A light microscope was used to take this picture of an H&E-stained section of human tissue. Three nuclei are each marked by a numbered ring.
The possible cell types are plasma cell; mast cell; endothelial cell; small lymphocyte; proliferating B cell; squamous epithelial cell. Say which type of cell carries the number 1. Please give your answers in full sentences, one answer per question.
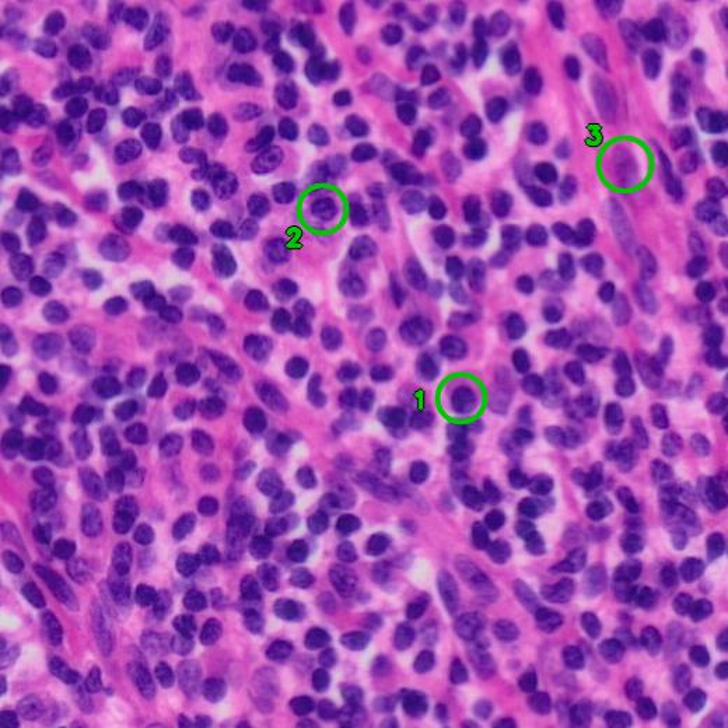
Numbered cell 1 is a plasma cell in this tissue section.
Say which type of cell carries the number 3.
That cell with number 3 is an endothelial cell.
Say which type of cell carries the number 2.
Regarding cell 2, this one is a plasma cell.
